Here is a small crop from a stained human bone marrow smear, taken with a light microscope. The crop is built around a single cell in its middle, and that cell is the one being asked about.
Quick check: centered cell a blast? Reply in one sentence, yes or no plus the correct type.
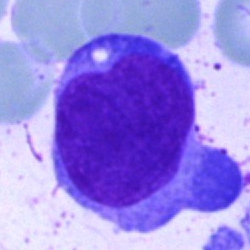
Yes, the cell at the center of the crop is a blast.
